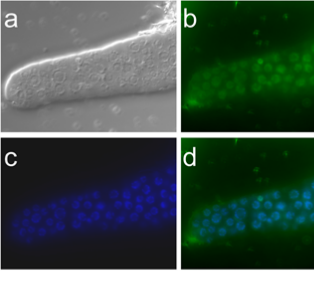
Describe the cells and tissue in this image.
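Germline, shown as a tube-shaped gonad arm with a rounded blind end, packed with germ cells. In the blue image, rounded nuclei are spread evenly along the same region. The green image shows a round spot matching each nucleus, on top of a weaker, diffuse green haze. In the merged image the green overlaps the blue nuclei, so the nuclei look pale blue-green.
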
